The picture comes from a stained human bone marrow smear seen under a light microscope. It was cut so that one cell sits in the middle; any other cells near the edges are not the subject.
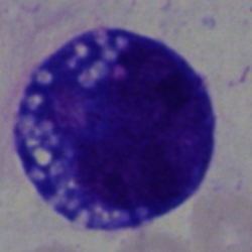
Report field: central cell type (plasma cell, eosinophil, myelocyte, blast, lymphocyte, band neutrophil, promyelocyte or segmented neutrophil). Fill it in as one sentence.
The middle cell in this particular crop is a blast.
